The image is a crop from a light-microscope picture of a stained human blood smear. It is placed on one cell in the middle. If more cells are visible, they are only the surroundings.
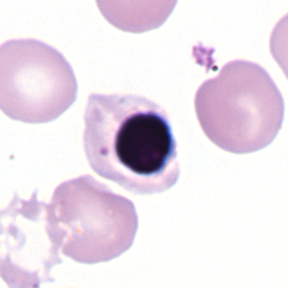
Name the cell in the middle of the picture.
erythroblast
